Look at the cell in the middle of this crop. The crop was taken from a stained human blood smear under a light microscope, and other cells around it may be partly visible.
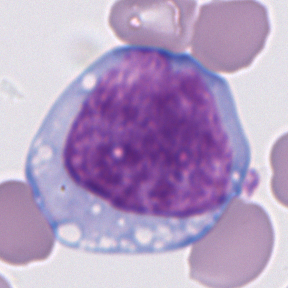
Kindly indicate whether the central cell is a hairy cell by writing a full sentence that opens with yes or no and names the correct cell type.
No, the cell positioned in the middle is a myeloblast, not a hairy cell.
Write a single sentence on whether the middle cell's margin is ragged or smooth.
Around its whole circumference the outline stays smooth, free of projections.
